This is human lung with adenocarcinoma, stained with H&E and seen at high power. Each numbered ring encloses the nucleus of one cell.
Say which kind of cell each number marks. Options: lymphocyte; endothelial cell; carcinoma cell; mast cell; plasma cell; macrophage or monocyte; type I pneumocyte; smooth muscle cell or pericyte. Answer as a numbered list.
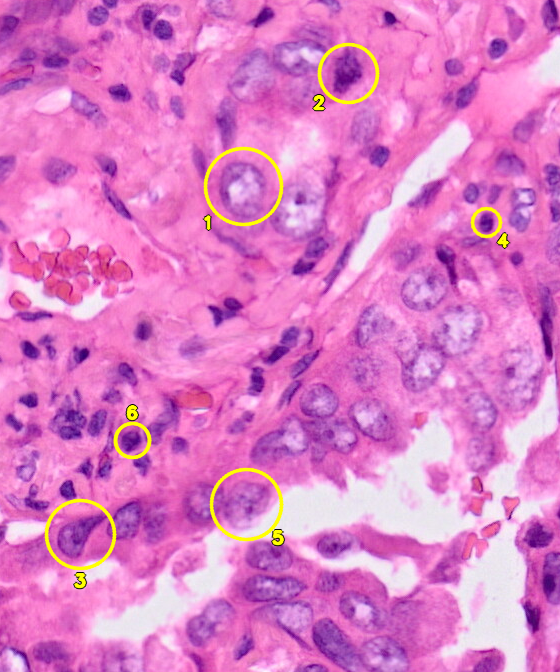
1. carcinoma cell
2. carcinoma cell
3. carcinoma cell
4. lymphocyte
5. carcinoma cell
6. plasma cell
